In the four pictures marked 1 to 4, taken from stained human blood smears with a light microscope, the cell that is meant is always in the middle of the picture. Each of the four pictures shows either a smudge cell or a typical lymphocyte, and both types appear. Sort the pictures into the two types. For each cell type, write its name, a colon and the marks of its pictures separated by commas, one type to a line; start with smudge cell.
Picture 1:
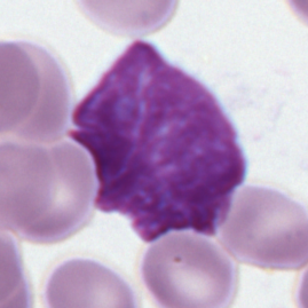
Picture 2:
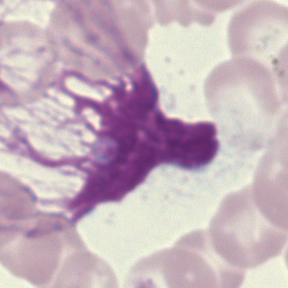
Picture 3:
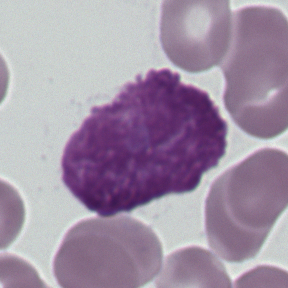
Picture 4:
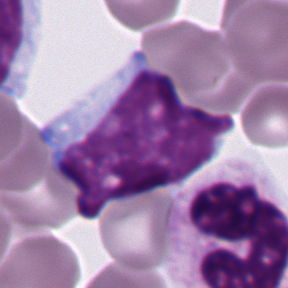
smudge cell: 1, 2, 3
typical lymphocyte: 4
